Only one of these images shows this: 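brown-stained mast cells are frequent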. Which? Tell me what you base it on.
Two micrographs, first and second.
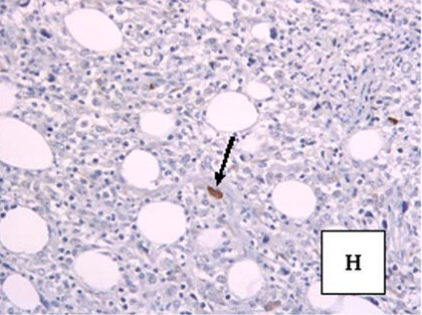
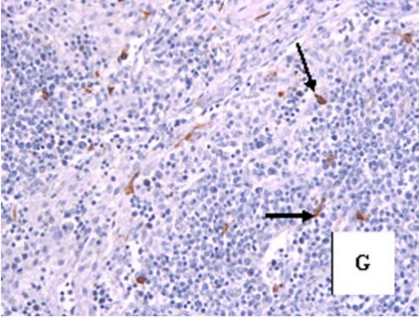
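The second image. Second image: many scattered brown-stained cells across the field.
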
